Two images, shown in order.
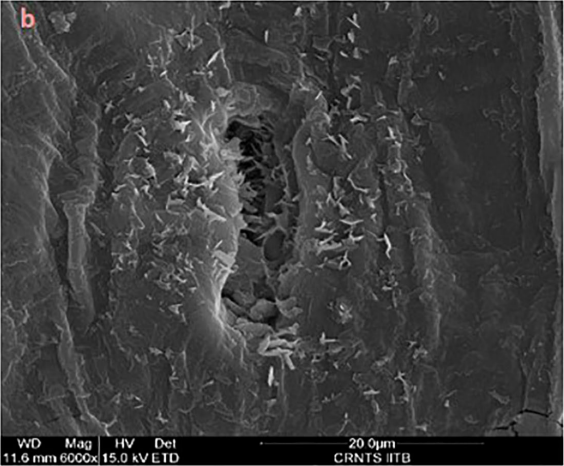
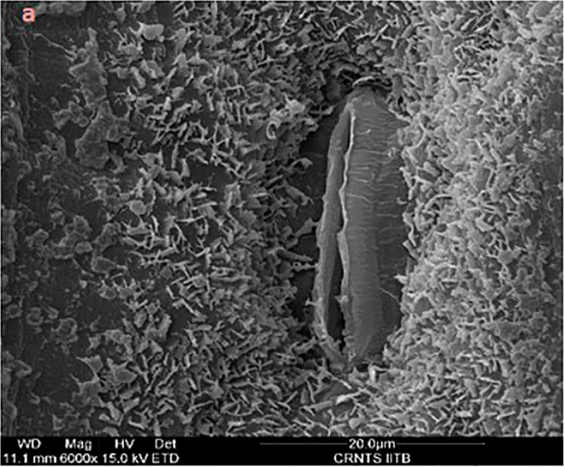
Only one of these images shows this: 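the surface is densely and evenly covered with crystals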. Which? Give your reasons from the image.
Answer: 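The second image. First image: the surface is mostly smooth and ridged, with only a few small crystals near the central opening.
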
